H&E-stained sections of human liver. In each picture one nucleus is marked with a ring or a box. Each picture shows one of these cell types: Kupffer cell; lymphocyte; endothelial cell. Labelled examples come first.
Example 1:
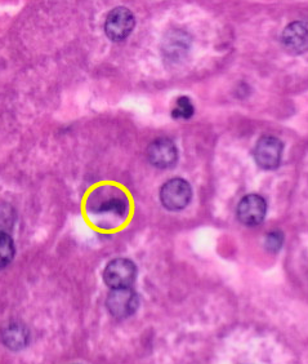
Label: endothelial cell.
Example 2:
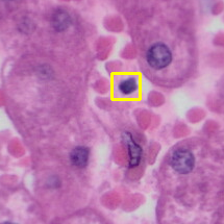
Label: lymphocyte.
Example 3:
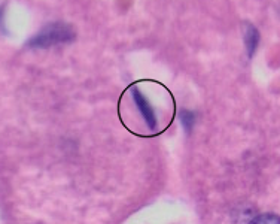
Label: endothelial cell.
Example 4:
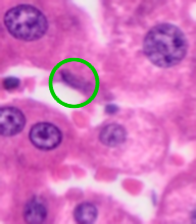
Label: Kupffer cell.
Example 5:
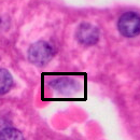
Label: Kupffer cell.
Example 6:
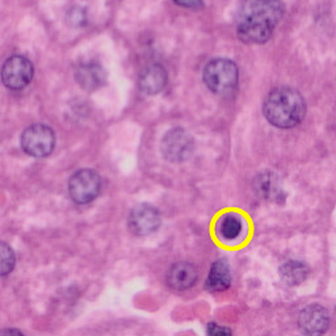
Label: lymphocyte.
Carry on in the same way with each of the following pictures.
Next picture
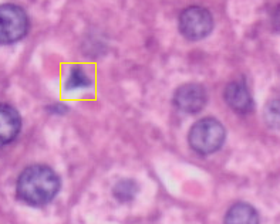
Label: endothelial cell.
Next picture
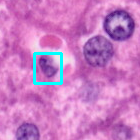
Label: Kupffer cell.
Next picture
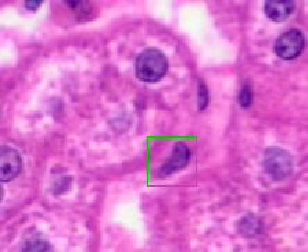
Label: Kupffer cell.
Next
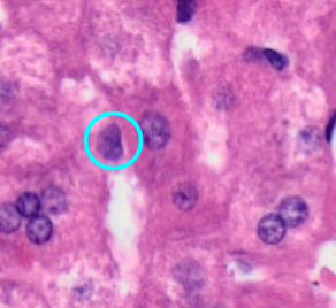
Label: endothelial cell.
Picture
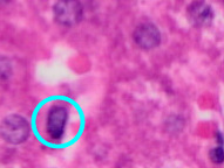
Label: Kupffer cell.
